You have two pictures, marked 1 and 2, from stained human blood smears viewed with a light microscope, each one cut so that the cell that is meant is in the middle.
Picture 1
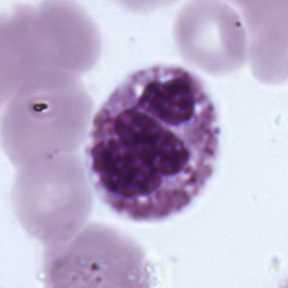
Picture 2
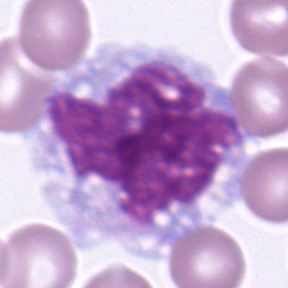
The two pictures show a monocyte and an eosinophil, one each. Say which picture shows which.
1: eosinophil
2: monocyte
